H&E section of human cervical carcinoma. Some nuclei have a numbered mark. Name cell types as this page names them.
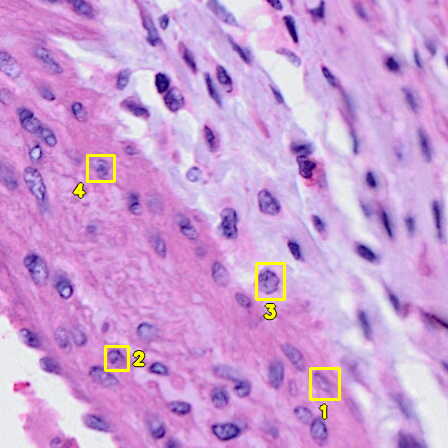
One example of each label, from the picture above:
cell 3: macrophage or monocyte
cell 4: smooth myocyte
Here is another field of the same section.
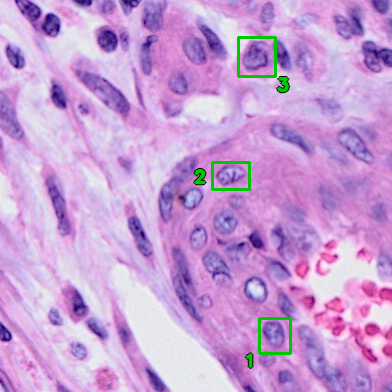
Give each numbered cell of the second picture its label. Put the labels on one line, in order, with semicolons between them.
smooth myocyte; smooth myocyte; macrophage or monocyte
